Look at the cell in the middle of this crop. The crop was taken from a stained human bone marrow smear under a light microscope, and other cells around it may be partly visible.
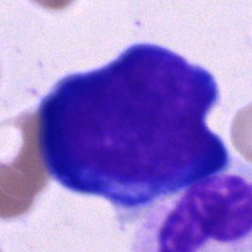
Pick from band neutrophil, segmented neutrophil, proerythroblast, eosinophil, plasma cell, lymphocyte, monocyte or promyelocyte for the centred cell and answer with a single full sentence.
In the centre of this crop there is a proerythroblast.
